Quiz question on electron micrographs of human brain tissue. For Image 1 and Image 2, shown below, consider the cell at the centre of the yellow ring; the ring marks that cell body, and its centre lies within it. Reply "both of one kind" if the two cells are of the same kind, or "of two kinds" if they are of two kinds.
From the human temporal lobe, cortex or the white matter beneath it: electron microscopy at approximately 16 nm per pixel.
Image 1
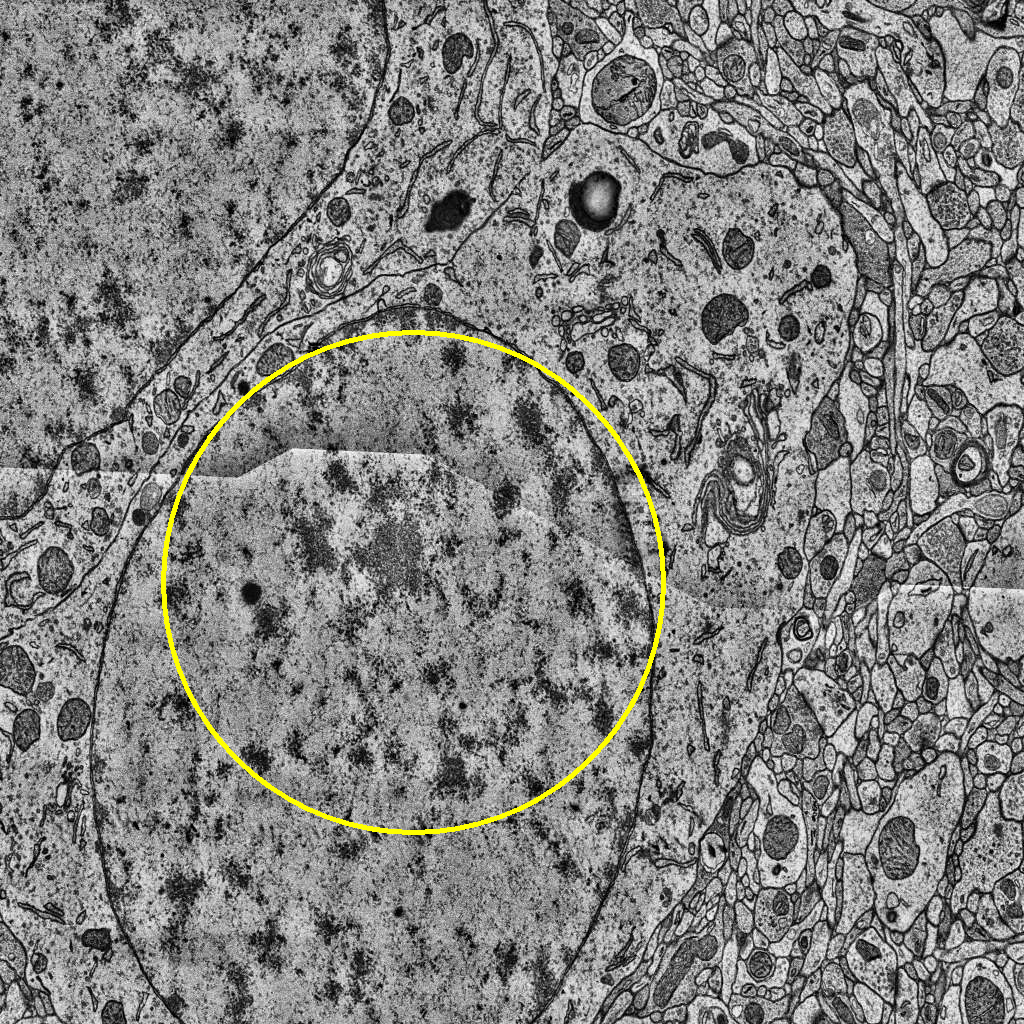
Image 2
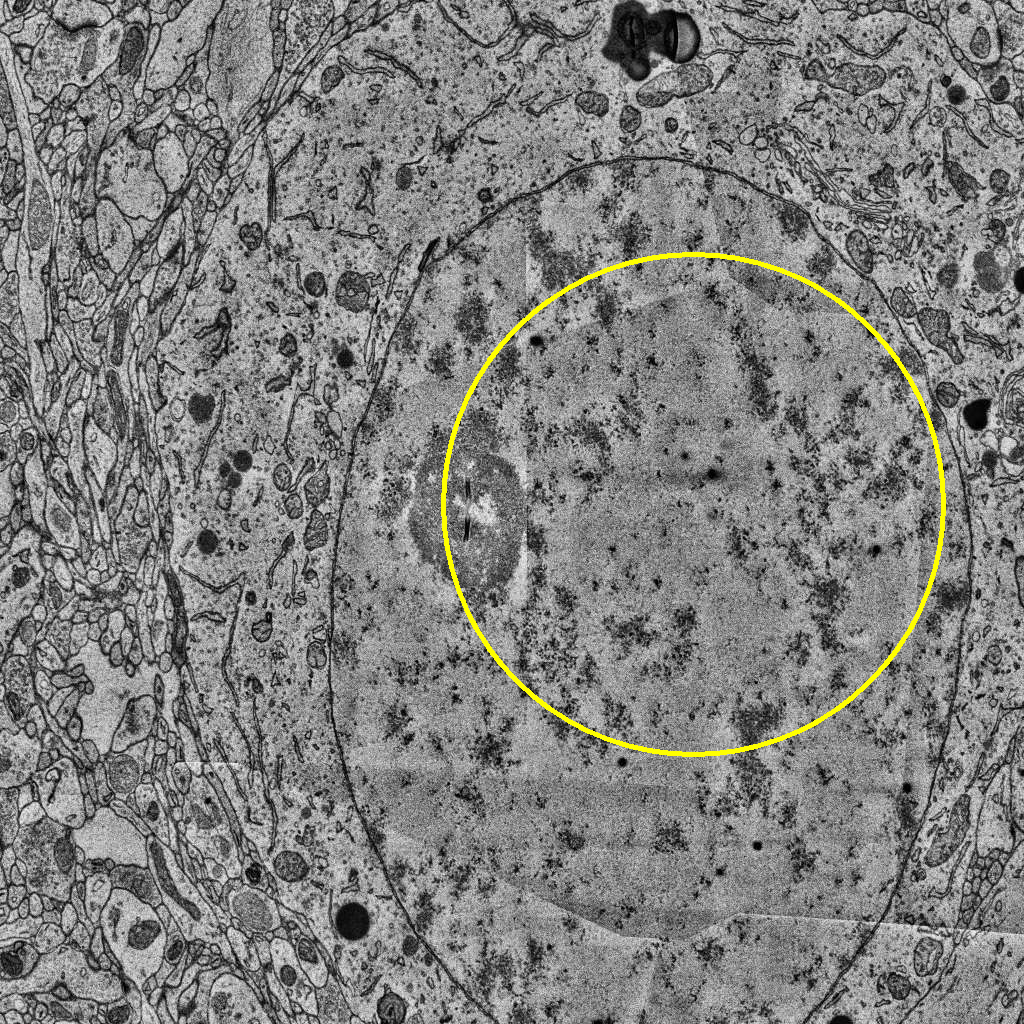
both of one kind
